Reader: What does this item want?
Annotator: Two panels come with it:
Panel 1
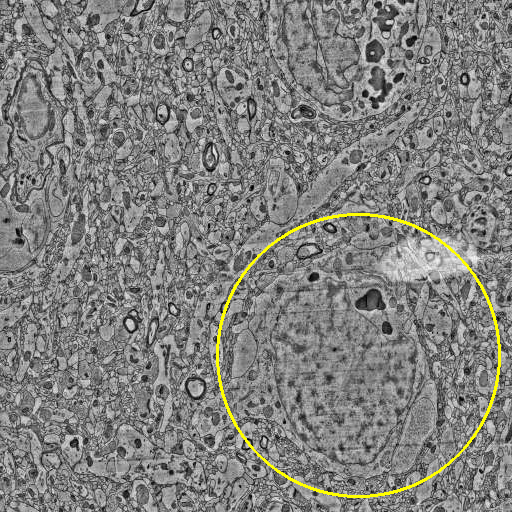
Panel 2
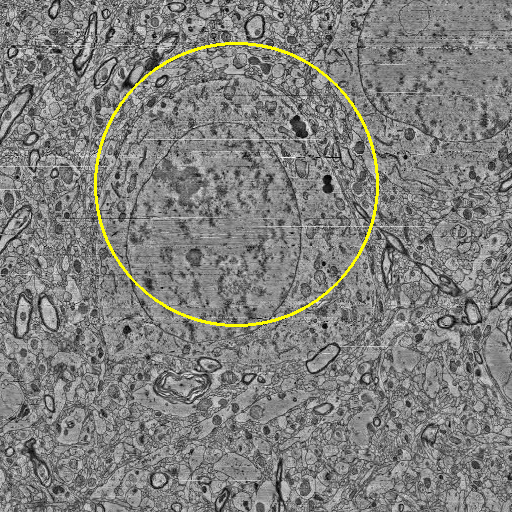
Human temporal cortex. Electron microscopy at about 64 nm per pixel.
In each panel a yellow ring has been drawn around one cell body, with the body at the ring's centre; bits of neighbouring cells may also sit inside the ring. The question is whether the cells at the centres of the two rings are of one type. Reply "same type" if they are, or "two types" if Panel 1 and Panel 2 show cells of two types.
two types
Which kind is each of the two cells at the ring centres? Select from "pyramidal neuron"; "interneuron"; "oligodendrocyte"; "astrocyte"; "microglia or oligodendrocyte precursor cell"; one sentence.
The cell at the centre of the ring is an interneuron in the first picture and a pyramidal neuron in the second.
